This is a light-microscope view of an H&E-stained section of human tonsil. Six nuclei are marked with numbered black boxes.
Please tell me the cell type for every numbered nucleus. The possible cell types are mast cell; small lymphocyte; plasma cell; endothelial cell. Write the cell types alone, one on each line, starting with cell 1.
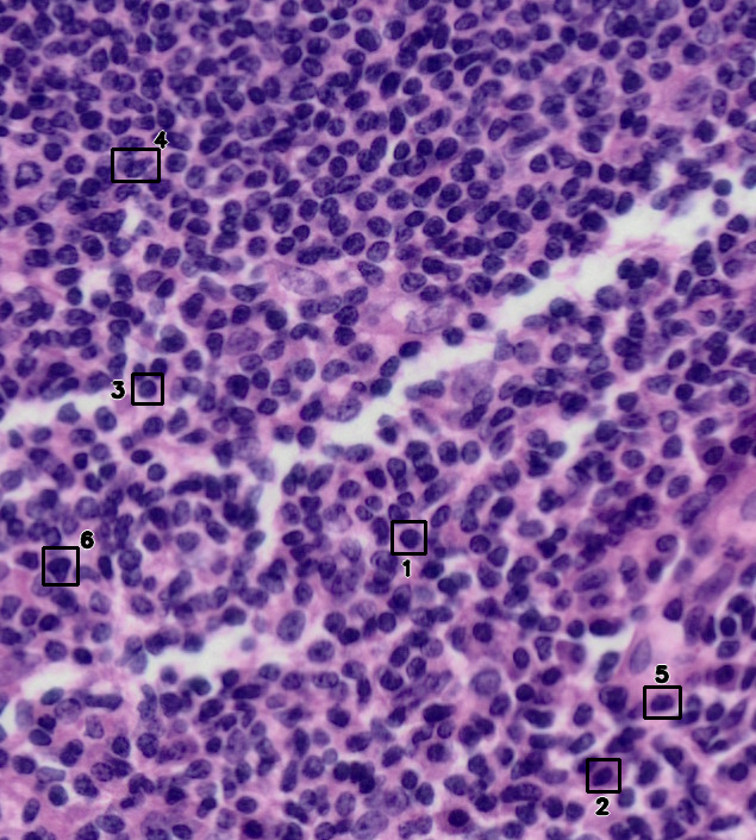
small lymphocyte
plasma cell
small lymphocyte
small lymphocyte
endothelial cell
small lymphocyte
